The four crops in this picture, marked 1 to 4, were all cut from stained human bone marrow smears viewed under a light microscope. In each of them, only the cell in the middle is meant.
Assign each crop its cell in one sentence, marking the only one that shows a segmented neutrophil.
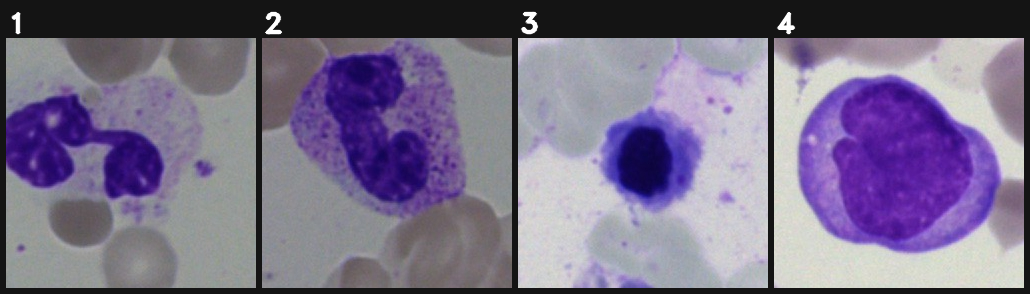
The central cell in crop 1 is a segmented neutrophil, whereas crop 2 is a band neutrophil, crop 3 is an erythroblast and crop 4 is a blast.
